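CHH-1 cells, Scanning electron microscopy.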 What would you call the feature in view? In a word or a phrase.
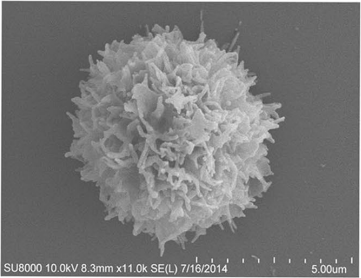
Microvili.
